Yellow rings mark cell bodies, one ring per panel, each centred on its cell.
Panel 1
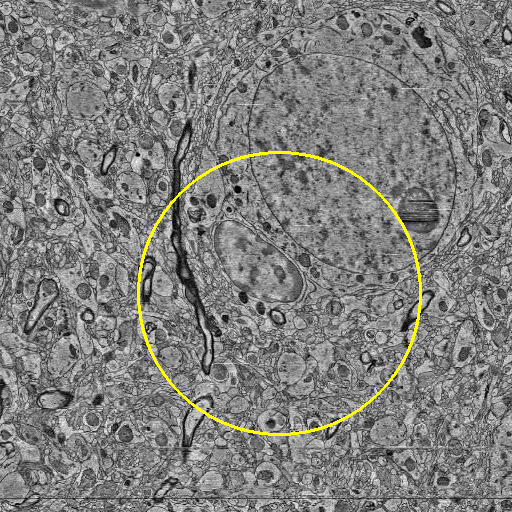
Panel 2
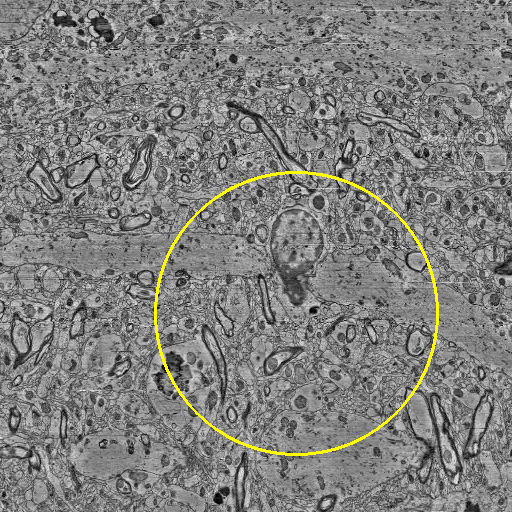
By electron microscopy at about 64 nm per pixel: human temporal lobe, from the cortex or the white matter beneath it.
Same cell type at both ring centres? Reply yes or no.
yes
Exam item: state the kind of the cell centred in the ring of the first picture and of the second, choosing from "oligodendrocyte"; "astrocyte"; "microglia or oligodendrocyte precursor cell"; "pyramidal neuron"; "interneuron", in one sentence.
Each of the two cells is a microglial cell or oligodendrocyte precursor cell.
